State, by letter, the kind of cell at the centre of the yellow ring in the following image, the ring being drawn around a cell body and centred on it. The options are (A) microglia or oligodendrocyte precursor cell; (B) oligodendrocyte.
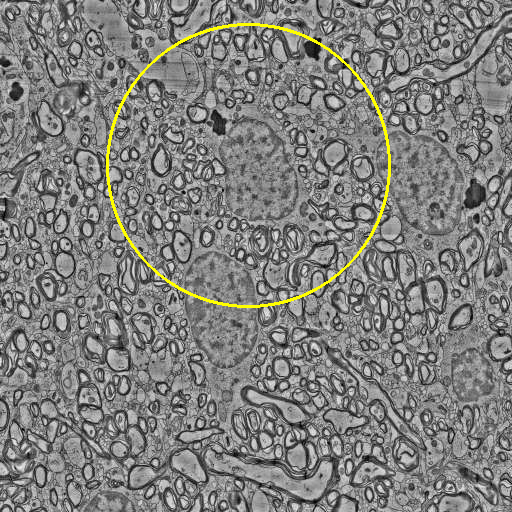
B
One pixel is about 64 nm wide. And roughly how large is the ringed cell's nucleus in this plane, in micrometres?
In this plane, about 7 micrometres in length and 5 in width.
